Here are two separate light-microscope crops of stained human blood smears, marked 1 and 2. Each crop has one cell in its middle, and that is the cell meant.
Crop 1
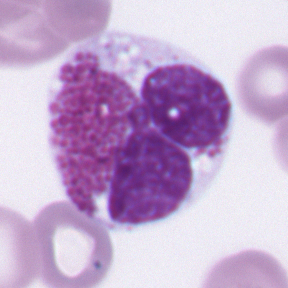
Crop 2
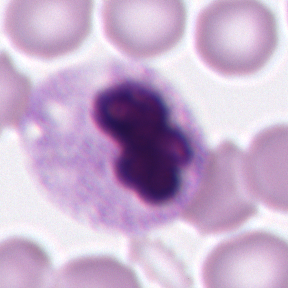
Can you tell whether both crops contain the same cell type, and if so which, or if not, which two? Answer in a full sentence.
No, crop 2 shows a segmented neutrophil, and crop 1 shows an eosinophil.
